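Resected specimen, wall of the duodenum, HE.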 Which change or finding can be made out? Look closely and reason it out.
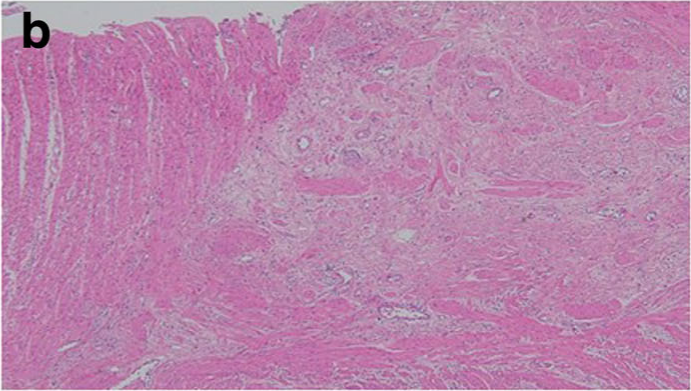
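On the left, orderly pink bands of smooth muscle run in parallel. On the right, the layered wall gives way to pale, loose fibrous tissue with scattered small vessels and broken muscle bundles. The answer: fibrosis.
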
